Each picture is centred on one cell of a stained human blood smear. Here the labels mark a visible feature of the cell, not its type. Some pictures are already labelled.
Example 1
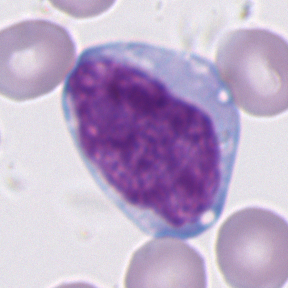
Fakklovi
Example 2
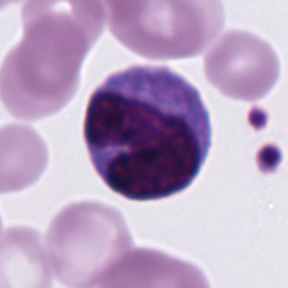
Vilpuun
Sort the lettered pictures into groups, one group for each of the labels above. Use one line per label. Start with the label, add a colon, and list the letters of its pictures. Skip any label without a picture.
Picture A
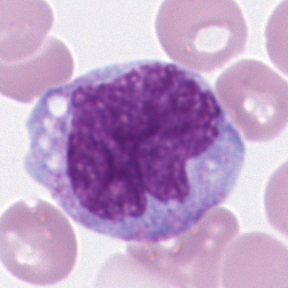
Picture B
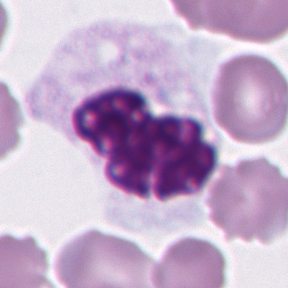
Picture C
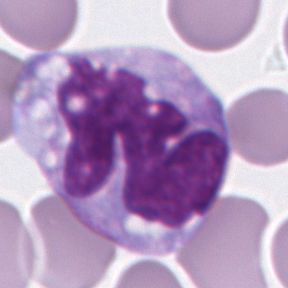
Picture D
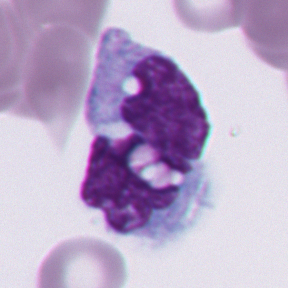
Fakklovi: A, B, C, D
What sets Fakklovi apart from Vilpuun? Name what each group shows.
In Fakklovi: vacuoles present. In Vilpuun: no vacuoles.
